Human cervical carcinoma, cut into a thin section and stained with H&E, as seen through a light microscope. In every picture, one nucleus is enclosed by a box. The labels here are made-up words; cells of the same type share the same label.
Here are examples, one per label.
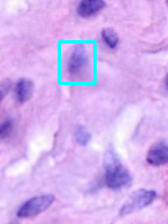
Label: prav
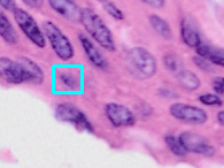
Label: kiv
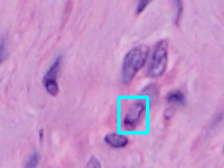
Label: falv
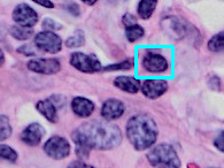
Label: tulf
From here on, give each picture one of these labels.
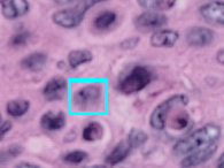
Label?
kiv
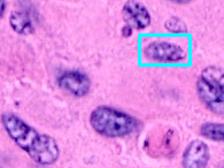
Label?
kiv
